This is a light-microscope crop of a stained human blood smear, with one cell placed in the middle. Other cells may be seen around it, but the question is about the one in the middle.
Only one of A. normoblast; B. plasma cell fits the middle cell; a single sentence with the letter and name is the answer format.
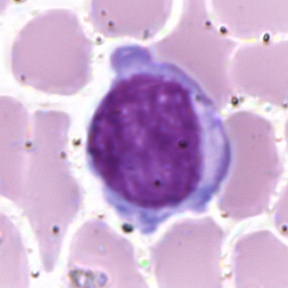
The cell centered in the crop is a plasma cell, making option B the correct pick.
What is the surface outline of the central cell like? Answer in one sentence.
As for its outline, the cell is irregular, ragged or drawn into projections.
